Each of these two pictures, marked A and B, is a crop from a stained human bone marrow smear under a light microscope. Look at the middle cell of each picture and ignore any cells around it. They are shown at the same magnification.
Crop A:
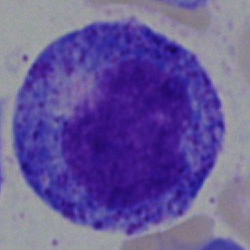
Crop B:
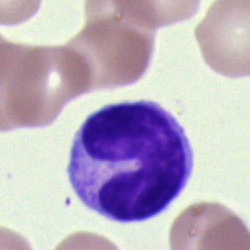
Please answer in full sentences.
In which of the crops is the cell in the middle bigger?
Crop A holds the larger cell; it covers about 3 times the area of the cell in crop B.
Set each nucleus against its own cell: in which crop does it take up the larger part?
It is the cell in crop B that is filled more by its nucleus.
